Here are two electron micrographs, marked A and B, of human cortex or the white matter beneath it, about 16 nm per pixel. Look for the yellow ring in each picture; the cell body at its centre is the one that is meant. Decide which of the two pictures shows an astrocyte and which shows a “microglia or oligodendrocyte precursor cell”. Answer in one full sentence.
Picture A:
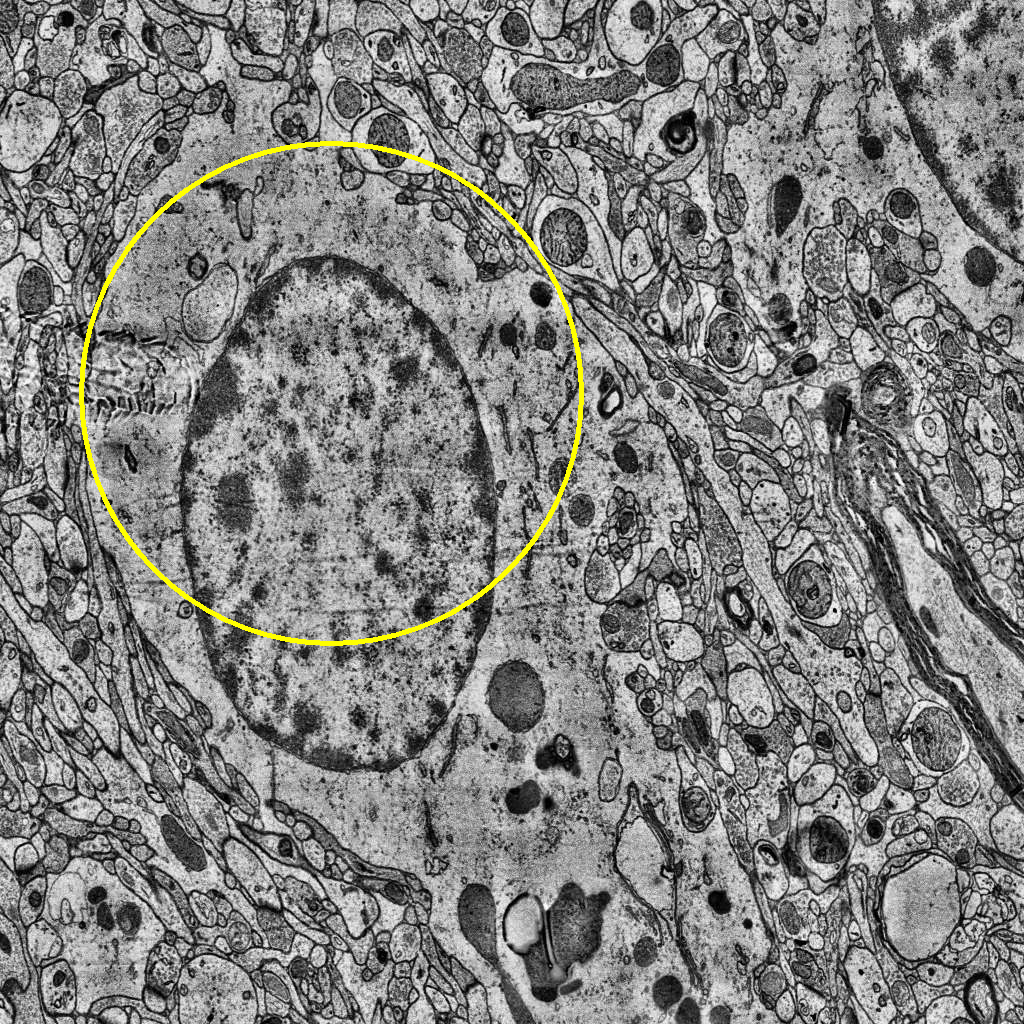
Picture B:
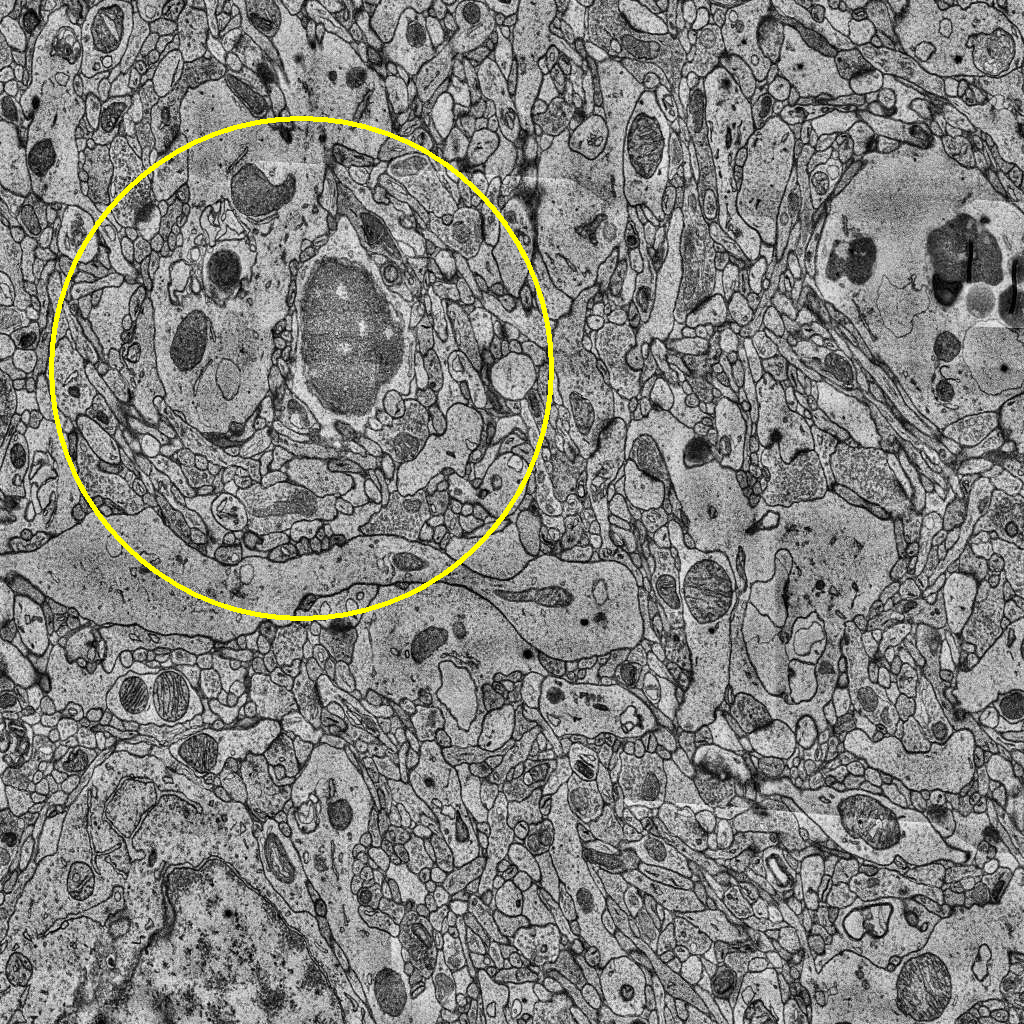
It is picture A that shows an astrocyte, and picture B that shows a “microglia or oligodendrocyte precursor cell”.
